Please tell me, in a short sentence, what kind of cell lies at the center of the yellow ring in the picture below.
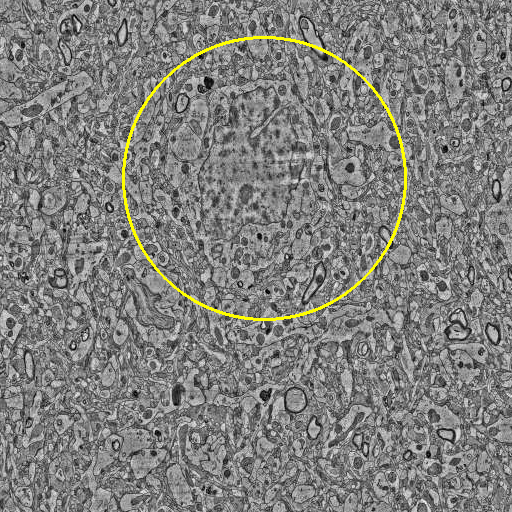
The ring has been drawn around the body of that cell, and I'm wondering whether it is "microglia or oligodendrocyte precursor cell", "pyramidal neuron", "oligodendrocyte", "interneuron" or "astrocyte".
The cell at the center of the ring is an interneuron.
